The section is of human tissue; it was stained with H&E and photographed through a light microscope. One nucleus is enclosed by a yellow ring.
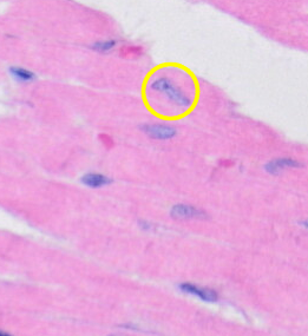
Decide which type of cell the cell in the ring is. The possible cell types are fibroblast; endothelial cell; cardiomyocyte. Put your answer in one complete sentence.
In the stained section, the cell in the ring is a cardiomyocyte.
